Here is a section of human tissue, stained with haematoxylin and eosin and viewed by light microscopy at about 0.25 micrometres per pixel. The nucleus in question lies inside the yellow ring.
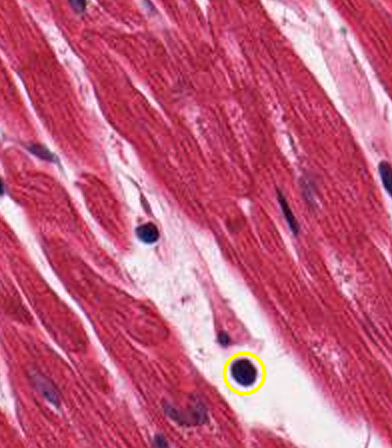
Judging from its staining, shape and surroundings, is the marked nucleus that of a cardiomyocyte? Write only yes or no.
no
